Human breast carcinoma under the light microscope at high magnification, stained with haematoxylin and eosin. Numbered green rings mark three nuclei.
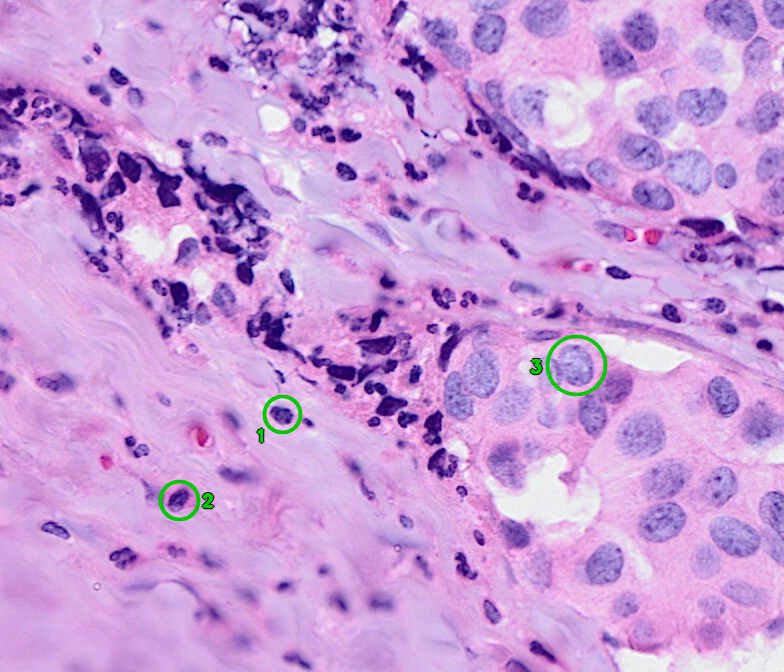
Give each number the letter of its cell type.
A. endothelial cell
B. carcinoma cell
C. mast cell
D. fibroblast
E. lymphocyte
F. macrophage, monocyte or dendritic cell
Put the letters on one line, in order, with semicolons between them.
E; C; B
